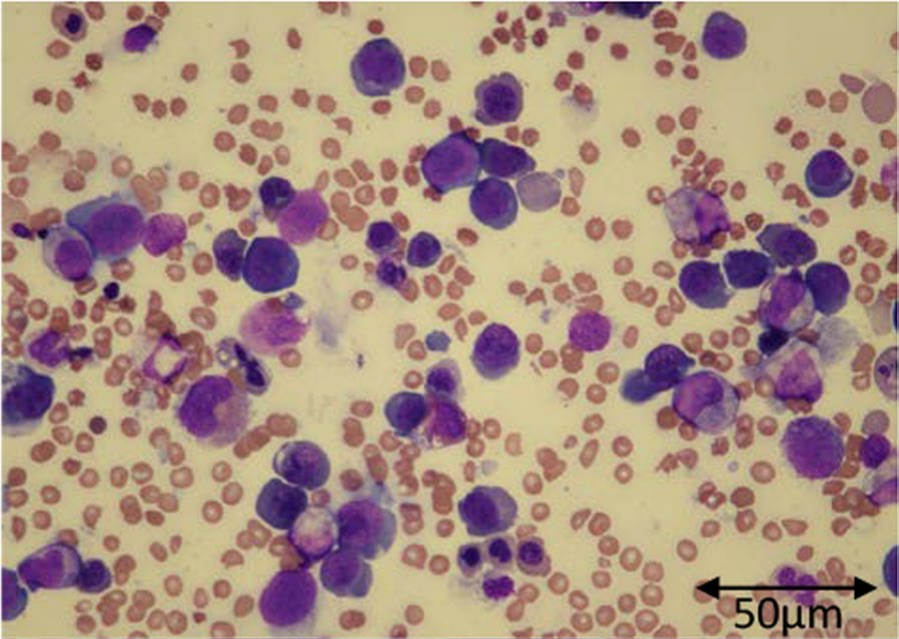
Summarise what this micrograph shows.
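This is a lower-power view of a cellular bone marrow smear, with many nucleated cells scattered among numerous pink red cells. Many of the nucleated cells have round purple nuclei and a rim of deep blue cytoplasm. Fewer cells have paler pink or purplish granular cytoplasm. Some of the nucleated cells lie in small clusters. Scattered small cells with dense dark nuclei are also present.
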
